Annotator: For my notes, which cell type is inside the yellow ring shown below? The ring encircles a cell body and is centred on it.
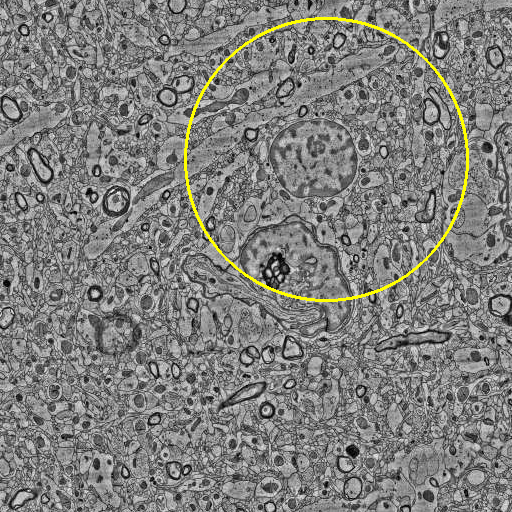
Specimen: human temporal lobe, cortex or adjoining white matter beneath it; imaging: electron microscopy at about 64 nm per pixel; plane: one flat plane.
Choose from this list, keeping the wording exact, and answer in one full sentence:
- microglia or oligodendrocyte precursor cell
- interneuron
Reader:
At the centre of the yellow ring there is a microglial cell or oligodendrocyte precursor cell, as shown in the picture.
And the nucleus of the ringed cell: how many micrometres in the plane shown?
The nucleus measures about 6 micrometers across in this plane.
